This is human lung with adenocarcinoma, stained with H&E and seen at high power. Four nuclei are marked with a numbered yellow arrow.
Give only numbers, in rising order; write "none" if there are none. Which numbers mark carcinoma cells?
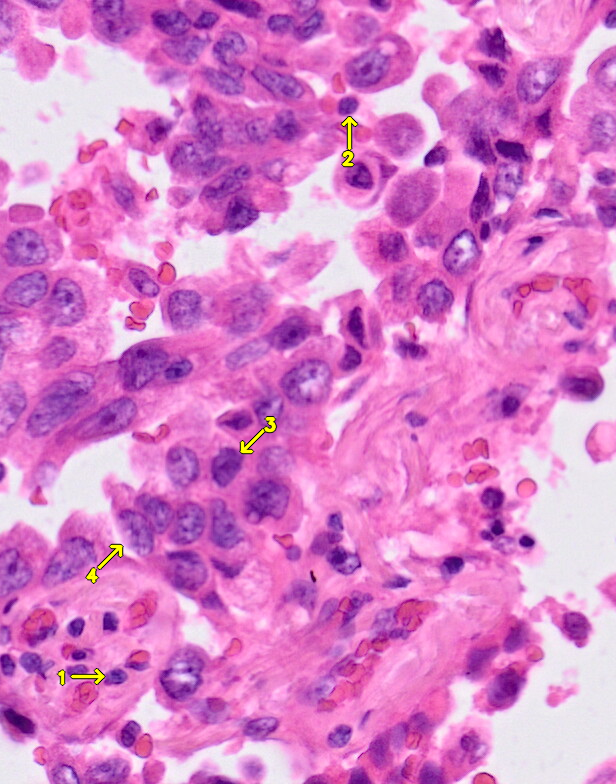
3, 4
